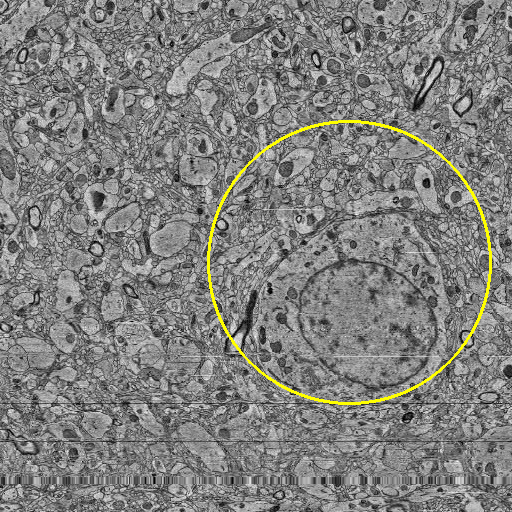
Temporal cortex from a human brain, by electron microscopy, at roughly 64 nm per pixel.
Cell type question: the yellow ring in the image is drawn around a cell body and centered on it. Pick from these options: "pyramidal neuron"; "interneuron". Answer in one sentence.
The ringed cell at the center is a pyramidal neuron.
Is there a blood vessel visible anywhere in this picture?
No, there is no blood vessel in the image.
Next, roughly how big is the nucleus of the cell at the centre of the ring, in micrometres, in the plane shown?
In this plane the nucleus spans approximately 9 by 8 micrometers.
